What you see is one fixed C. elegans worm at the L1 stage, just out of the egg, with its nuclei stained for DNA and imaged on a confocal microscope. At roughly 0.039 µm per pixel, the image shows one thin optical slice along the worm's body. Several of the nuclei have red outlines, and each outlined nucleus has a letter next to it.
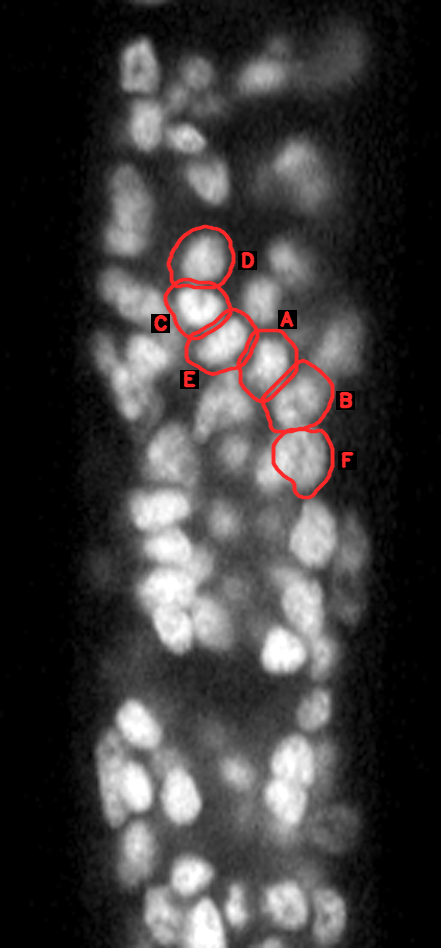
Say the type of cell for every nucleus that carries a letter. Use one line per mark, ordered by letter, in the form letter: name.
A: pharyngeal muscle cell
B: neuron
C: neuron
D: pharyngeal muscle cell
E: pharyngeal muscle cell
F: neuron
